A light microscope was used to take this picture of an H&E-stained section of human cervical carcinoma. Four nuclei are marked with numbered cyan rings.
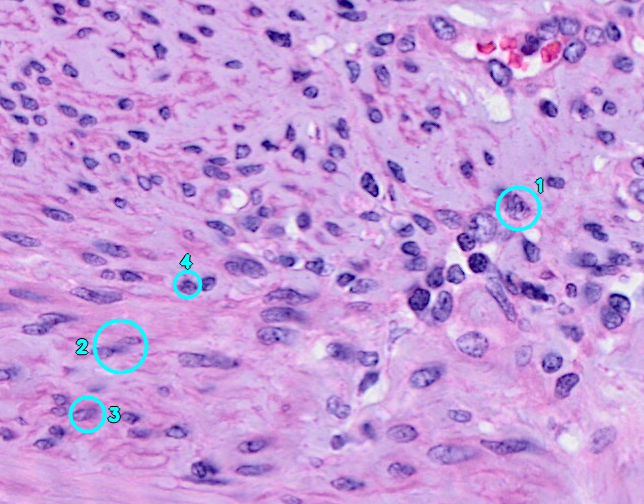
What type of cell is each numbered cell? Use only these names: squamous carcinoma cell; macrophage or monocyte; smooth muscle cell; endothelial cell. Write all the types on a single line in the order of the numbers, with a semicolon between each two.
endothelial cell; smooth muscle cell; smooth muscle cell; smooth muscle cell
